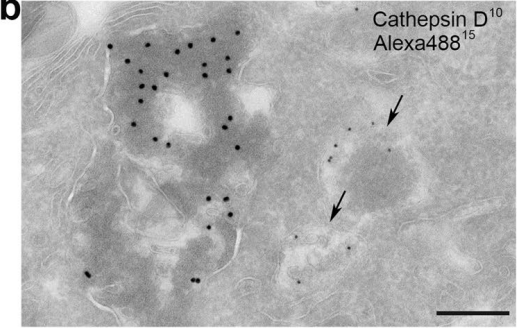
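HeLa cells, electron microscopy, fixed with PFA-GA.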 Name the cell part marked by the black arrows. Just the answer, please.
Lysosomes.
